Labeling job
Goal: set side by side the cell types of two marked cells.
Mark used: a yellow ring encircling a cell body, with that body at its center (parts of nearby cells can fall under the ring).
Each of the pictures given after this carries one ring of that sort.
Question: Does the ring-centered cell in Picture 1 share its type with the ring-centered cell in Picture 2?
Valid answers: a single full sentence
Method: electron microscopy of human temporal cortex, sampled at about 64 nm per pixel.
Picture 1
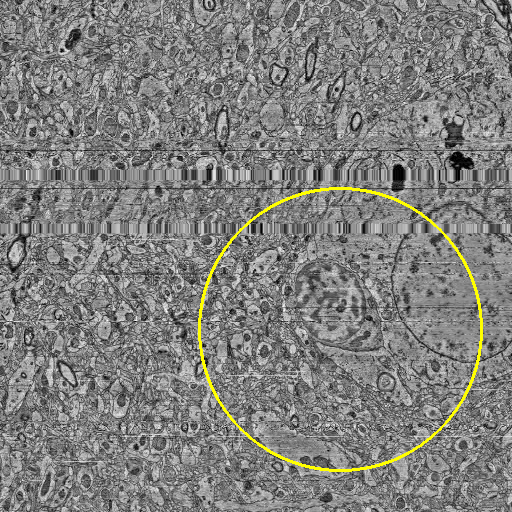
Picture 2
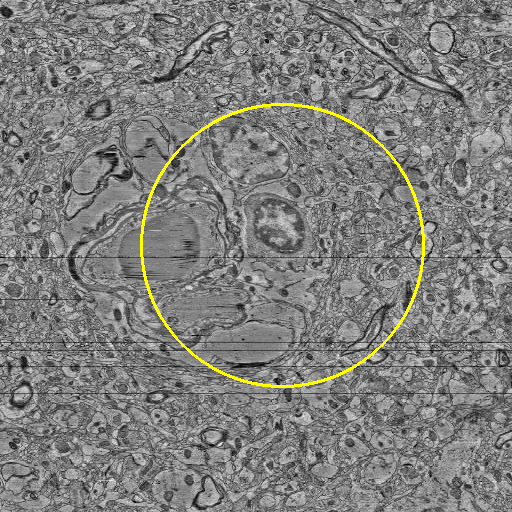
Yes, in Pictures 1 and 2 the cells at the ring centers share one type.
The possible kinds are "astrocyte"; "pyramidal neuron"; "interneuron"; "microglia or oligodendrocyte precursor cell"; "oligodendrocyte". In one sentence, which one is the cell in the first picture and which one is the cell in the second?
In each picture the ringed cell is an oligodendrocyte.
